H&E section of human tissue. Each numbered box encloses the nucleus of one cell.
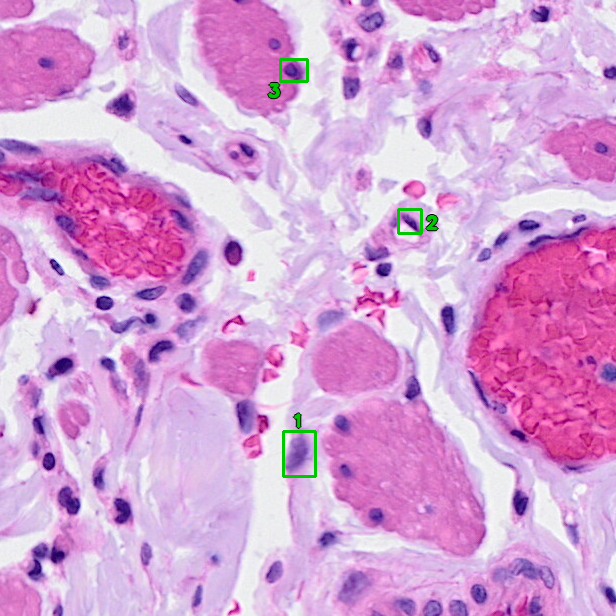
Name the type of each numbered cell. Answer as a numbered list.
1. endothelial cell
2. endothelial cell
3. smooth muscle cell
